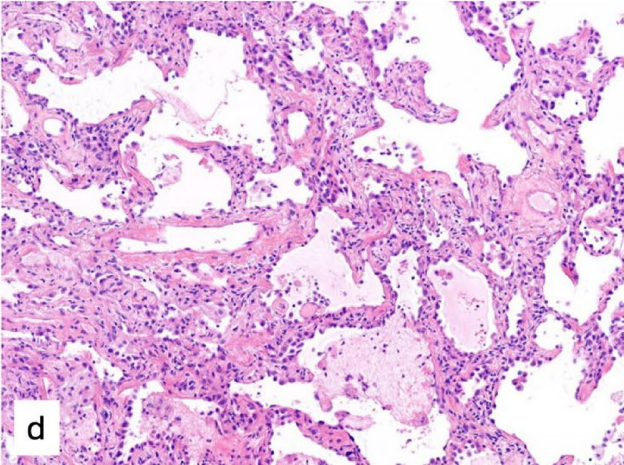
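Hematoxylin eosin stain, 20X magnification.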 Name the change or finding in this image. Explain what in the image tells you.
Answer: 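Alveolar septa are thickened throughout. Thickened septa contain many small dark nuclei. Airspaces remain open between the thickened walls. On this evidence: widening of alveolar walls.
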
